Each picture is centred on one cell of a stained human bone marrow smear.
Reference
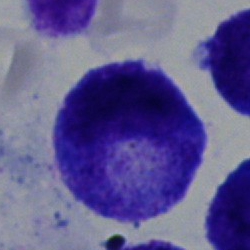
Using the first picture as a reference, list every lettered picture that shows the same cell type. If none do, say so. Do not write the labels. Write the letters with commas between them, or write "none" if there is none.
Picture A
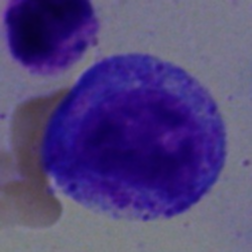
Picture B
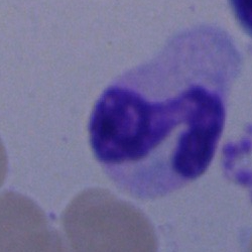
A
